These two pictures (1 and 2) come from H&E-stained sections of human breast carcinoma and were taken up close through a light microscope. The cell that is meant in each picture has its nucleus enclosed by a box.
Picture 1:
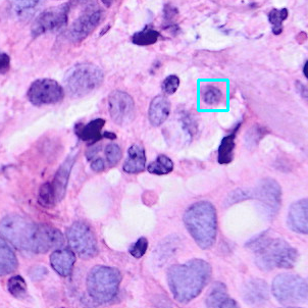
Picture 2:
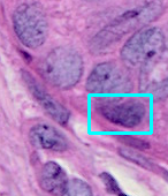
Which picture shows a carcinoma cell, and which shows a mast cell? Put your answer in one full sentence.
Picture 1 shows a mast cell and picture 2 shows a carcinoma cell.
